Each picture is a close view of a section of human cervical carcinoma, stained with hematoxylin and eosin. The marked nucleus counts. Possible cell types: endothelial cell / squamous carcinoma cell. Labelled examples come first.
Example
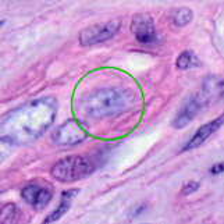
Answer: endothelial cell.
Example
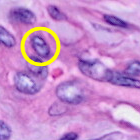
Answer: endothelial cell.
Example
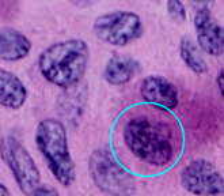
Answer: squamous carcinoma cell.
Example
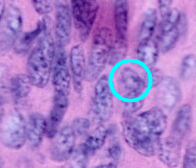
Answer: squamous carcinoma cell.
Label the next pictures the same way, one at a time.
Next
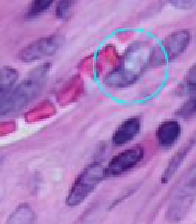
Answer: endothelial cell.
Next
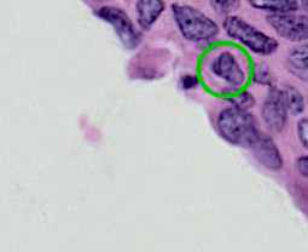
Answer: squamous carcinoma cell.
